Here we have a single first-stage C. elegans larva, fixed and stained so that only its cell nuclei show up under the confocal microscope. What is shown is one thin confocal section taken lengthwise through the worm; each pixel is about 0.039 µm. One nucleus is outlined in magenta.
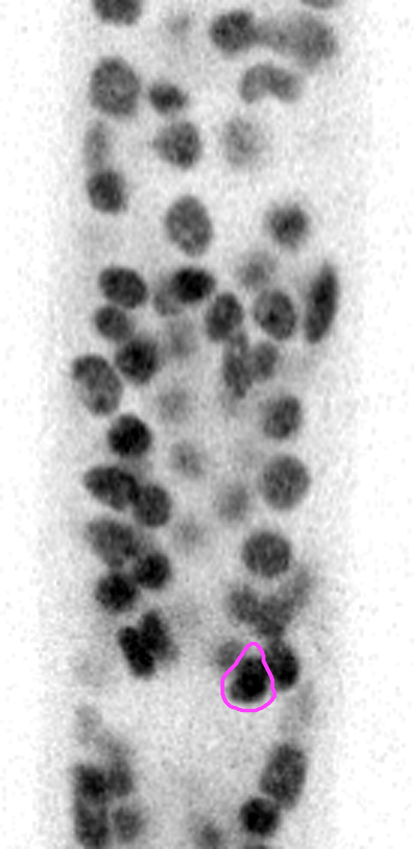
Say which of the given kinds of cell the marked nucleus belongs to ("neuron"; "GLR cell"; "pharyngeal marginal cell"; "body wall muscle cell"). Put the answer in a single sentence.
What is marked is the nucleus of a GLR cell.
